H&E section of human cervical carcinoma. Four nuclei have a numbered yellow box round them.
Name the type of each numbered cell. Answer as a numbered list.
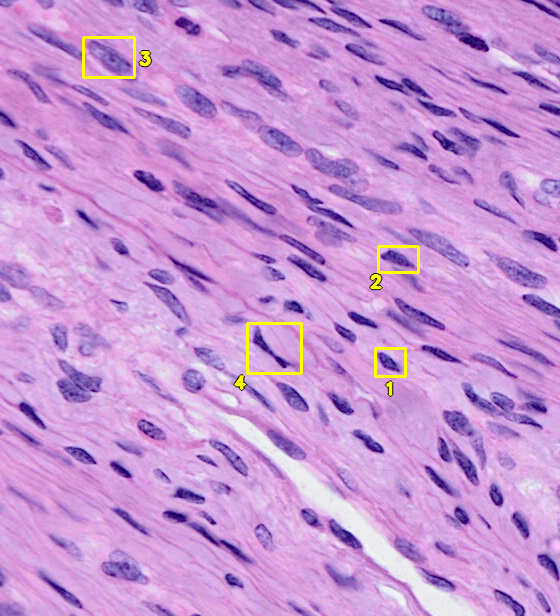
1. fibroblast
2. fibroblast
3. endothelial cell
4. fibroblast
